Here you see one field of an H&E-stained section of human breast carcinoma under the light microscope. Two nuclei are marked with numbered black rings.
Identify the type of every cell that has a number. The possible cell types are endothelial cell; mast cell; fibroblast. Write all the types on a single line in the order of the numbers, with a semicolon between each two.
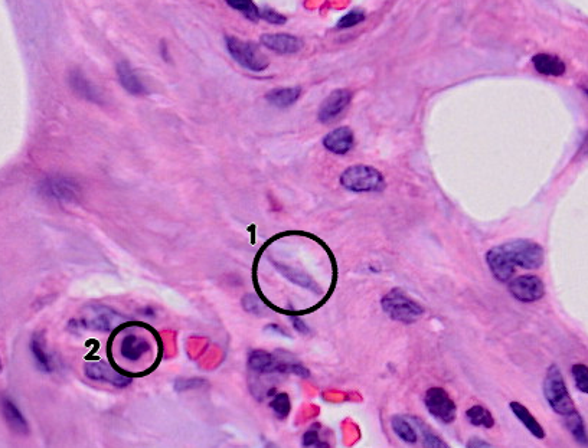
fibroblast; endothelial cell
